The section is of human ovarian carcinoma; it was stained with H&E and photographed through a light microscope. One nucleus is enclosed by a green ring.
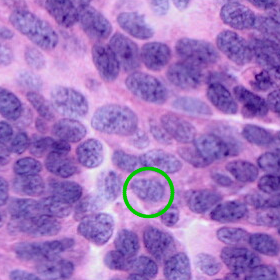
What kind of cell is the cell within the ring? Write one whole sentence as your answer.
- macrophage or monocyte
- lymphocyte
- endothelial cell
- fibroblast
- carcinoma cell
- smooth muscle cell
For cell typing purposes, the cell within the ring is a carcinoma cell.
